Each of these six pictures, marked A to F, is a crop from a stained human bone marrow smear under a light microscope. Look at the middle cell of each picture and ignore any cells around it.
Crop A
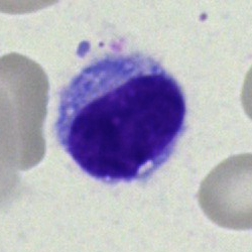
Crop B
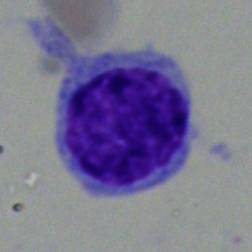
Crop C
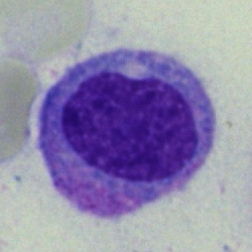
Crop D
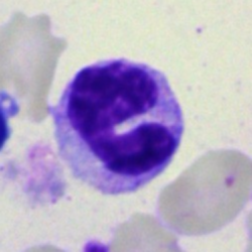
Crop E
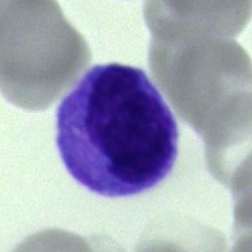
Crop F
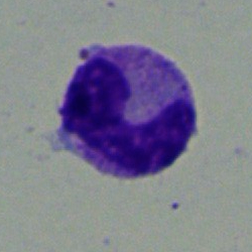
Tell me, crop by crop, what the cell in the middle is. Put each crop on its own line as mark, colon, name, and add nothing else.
A: hairy cell
B: hairy cell
C: monocyte
D: band neutrophil
E: monocyte
F: band neutrophil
